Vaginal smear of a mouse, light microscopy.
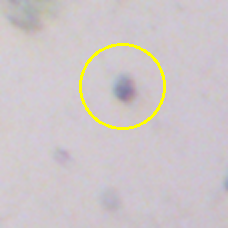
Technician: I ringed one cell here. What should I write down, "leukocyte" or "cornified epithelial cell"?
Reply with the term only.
leukocyte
